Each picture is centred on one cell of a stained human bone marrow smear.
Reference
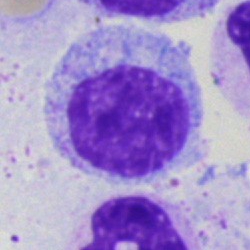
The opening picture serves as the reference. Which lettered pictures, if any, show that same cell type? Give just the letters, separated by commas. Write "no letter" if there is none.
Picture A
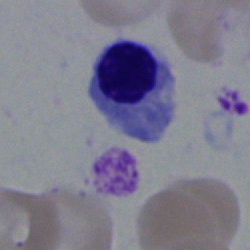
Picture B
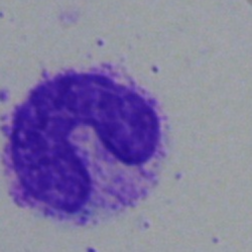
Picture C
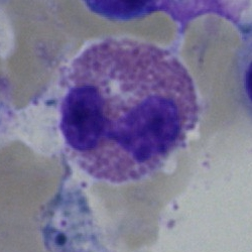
no letter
